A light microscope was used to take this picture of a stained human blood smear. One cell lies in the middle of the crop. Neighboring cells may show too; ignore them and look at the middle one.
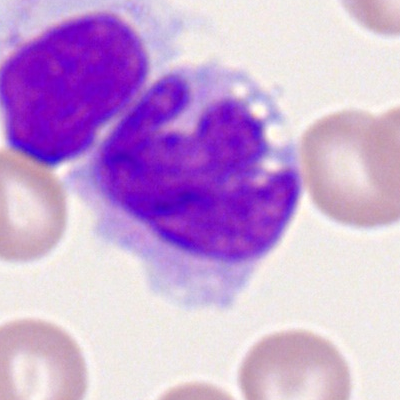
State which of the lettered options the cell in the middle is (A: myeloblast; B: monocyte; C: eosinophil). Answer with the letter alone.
B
